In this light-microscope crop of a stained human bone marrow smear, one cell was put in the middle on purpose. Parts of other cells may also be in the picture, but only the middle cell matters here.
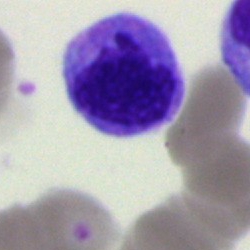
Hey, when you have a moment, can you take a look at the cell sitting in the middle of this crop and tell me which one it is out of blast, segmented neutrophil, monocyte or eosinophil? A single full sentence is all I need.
The centrally positioned cell in the crop represents a monocyte.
